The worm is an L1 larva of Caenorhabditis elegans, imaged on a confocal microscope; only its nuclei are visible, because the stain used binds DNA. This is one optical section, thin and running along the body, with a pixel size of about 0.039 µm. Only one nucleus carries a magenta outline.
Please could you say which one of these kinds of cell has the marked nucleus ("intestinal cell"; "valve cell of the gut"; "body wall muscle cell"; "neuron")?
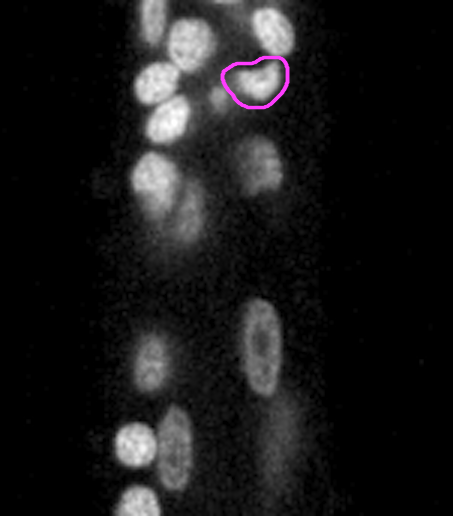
valve cell of the gut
